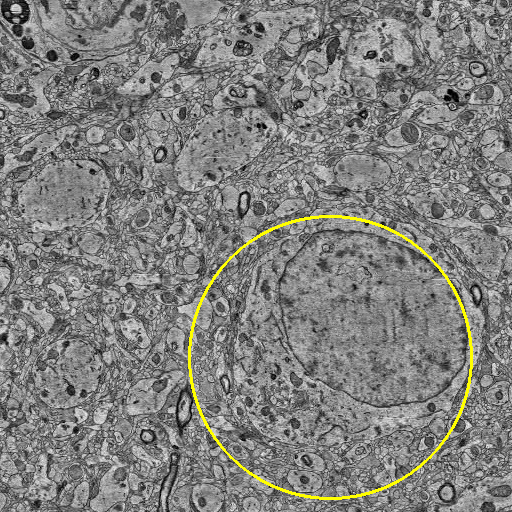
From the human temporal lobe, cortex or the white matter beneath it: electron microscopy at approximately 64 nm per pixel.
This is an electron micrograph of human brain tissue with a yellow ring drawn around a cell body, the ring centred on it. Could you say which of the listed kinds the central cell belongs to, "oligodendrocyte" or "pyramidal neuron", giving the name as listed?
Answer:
pyramidal neuron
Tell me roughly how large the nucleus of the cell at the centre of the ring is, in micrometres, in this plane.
About 13 by 11 micrometres in this plane.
